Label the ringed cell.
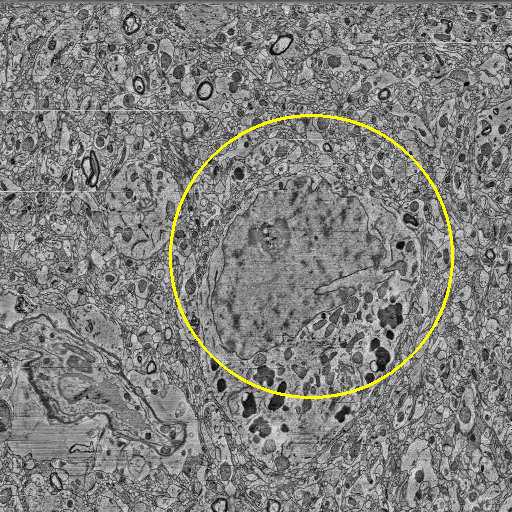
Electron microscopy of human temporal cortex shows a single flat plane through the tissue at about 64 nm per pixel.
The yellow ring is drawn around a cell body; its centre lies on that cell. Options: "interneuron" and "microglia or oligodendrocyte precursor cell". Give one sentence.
The ringed cell is an interneuron.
